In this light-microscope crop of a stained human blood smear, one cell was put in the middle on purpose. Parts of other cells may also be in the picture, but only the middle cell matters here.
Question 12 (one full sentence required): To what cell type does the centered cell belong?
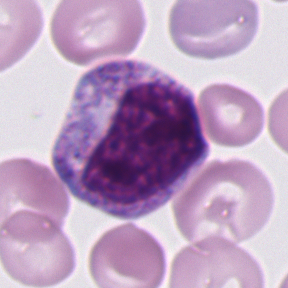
Among the cells in view, the one in the middle is a metamyelocyte.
